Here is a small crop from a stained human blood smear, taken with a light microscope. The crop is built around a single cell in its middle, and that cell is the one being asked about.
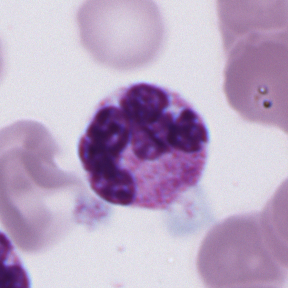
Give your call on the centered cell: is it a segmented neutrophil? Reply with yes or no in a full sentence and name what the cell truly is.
Yes, it is a segmented neutrophil that occupies the centre of the crop.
